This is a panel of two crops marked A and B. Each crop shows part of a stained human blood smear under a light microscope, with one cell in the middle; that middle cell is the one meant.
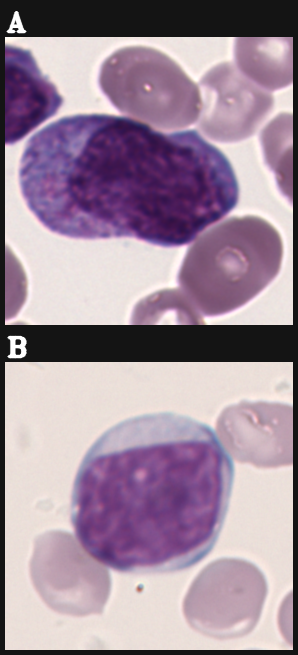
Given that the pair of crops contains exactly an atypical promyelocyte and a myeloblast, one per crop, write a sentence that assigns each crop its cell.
The cell in crop A is an atypical promyelocyte; the cell in crop B is a myeloblast.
